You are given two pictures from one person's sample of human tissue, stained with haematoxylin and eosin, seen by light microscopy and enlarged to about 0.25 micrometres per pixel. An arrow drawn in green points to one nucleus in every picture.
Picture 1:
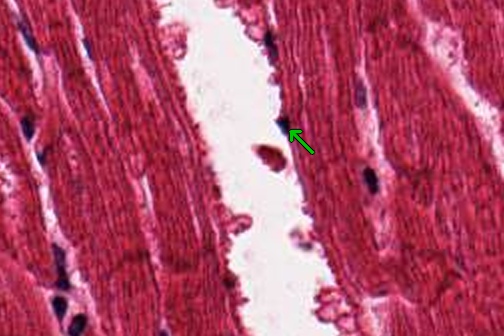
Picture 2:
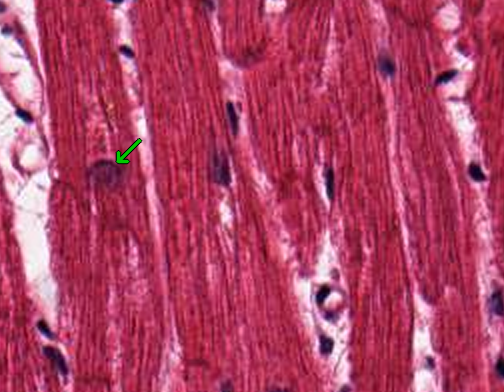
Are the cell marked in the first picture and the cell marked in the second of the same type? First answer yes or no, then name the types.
No, the first is an endothelial cell and the second a cardiomyocyte.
